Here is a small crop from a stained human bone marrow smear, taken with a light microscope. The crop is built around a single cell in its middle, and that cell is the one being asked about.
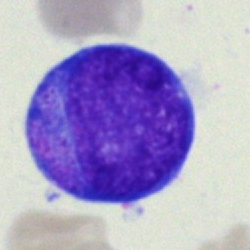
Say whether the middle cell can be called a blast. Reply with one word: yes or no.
yes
